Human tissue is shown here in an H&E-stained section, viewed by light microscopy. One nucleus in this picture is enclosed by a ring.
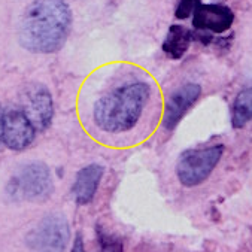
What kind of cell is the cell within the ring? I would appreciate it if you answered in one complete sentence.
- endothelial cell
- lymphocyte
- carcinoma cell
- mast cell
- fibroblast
The cell type of the cell within the ring is that of a carcinoma cell.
